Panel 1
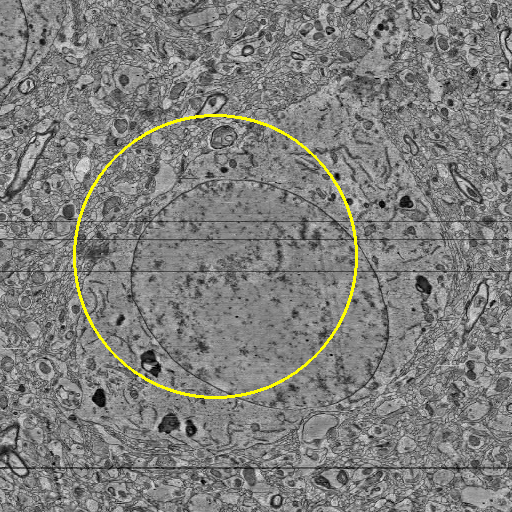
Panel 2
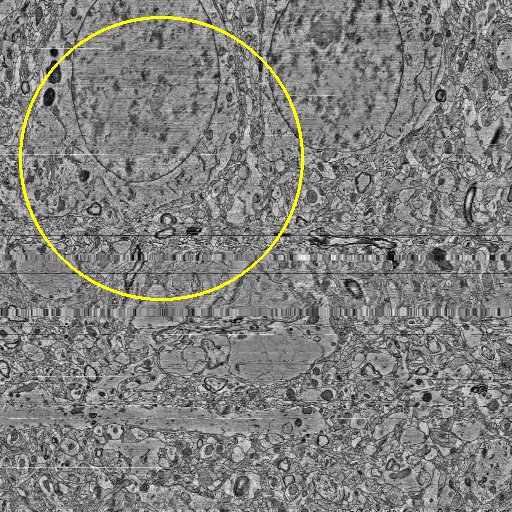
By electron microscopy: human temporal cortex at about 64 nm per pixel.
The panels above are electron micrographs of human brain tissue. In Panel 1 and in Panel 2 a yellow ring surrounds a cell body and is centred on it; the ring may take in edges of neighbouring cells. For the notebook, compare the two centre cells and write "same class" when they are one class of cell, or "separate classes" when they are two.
same class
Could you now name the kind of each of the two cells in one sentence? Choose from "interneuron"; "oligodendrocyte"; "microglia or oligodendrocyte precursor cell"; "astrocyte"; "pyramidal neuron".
The ring centre holds a pyramidal neuron in each of the two pictures.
